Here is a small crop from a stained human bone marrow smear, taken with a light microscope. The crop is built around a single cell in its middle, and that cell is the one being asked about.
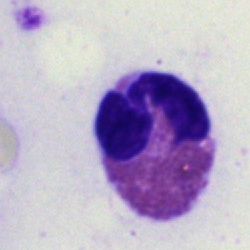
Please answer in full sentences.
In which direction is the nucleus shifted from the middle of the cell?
The nucleus is pushed toward the top of the cell.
